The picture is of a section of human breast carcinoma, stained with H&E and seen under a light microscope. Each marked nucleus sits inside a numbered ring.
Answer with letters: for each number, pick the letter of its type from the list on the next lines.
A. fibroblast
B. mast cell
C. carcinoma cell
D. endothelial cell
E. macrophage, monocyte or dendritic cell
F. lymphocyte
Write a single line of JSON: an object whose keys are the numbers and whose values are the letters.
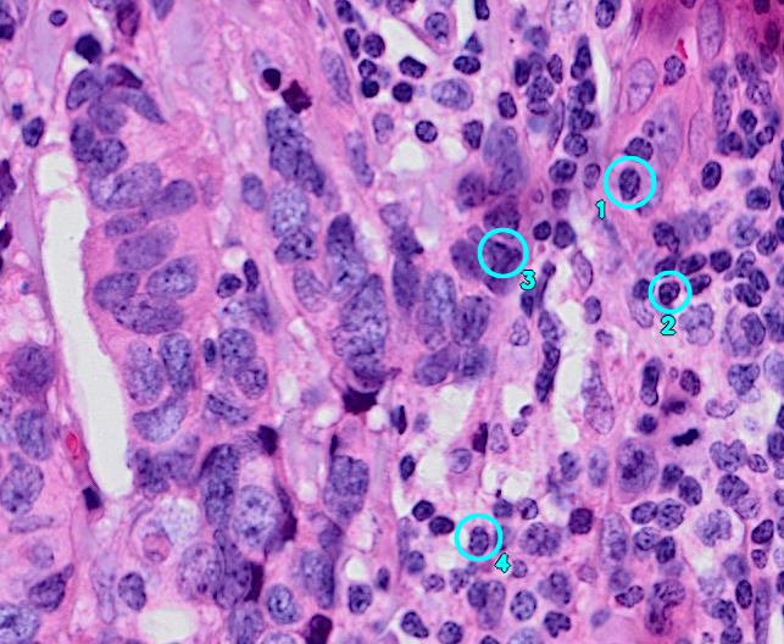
{"1": "F", "2": "F", "3": "C", "4": "F"}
